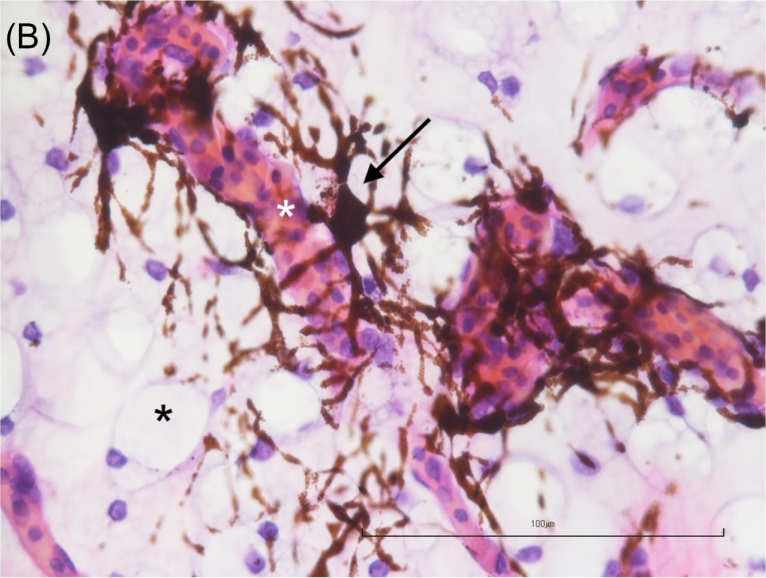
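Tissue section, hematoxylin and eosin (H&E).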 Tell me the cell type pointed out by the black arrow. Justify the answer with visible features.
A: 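A dark brown-black cell with a compact body and radiating branched processes. Its pigmented processes spread over and around a pink vessel. The answer: chromatophores.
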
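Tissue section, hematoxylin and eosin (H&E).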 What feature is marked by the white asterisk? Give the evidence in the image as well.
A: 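A pink tubular cord of cells with oval purple nuclei. Pigmented branched cells wrap around it.
Answer: blood vessel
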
